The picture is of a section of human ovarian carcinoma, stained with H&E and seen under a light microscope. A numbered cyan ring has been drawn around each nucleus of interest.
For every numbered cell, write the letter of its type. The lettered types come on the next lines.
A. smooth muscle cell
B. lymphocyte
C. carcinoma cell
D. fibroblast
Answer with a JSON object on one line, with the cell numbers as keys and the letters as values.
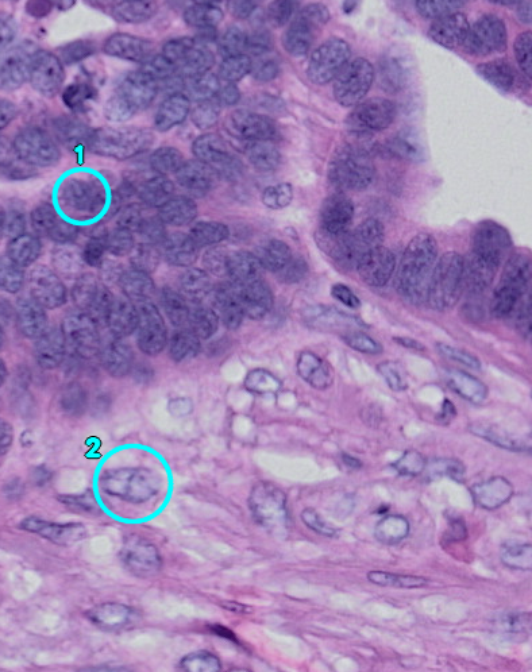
{"1": "C", "2": "D"}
